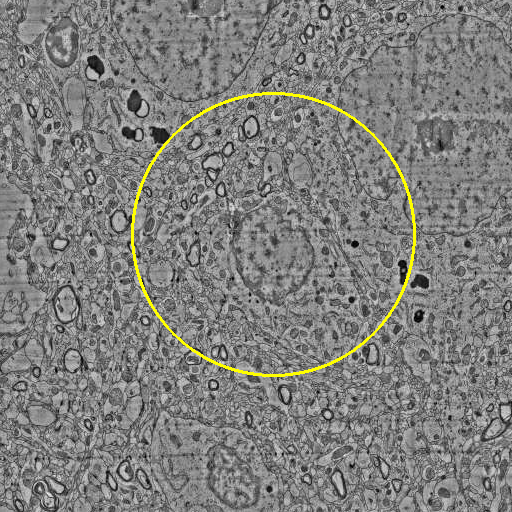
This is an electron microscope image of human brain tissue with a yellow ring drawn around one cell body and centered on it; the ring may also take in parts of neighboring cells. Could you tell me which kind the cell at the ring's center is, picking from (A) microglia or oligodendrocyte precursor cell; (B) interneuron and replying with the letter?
B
